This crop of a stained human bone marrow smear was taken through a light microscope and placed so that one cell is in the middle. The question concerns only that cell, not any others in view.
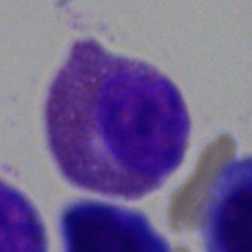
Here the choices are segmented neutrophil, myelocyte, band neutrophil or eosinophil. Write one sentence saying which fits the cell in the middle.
At the crop's centre, the cell is an eosinophil.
